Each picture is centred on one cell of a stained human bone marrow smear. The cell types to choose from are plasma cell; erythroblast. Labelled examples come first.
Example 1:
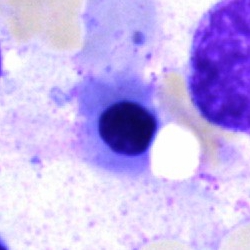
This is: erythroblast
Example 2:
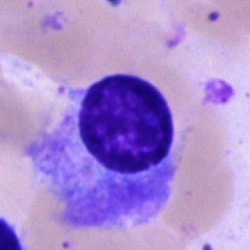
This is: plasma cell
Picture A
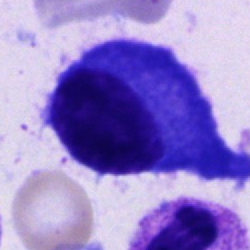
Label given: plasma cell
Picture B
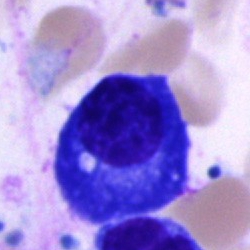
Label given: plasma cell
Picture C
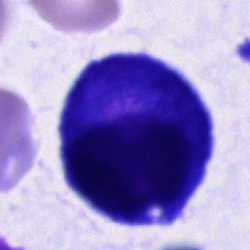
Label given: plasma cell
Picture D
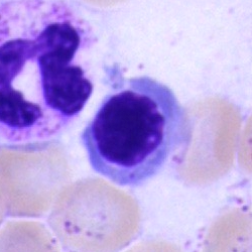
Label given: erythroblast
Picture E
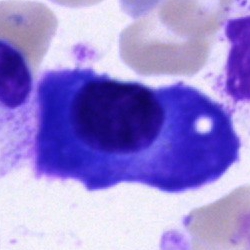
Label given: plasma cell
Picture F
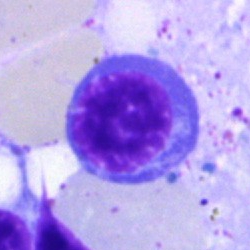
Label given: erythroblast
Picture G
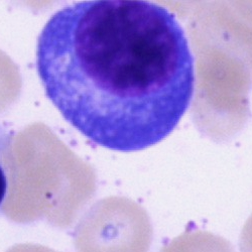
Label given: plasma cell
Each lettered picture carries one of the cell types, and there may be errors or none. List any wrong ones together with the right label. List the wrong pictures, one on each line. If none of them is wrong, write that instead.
Every label is right.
